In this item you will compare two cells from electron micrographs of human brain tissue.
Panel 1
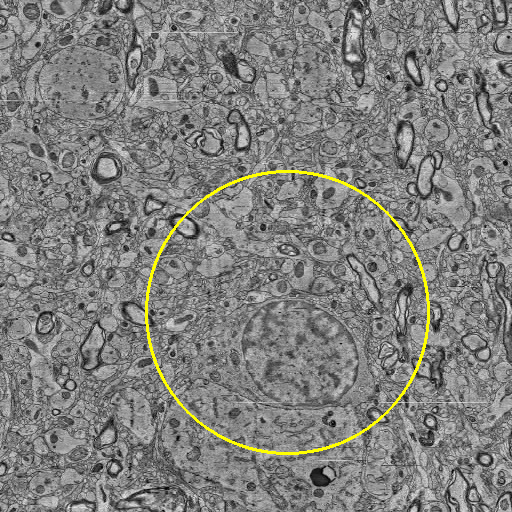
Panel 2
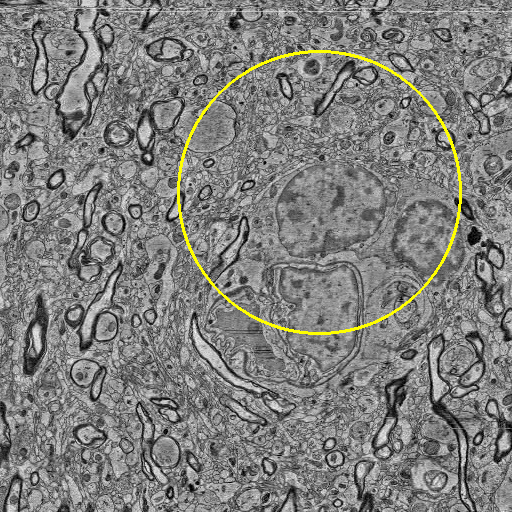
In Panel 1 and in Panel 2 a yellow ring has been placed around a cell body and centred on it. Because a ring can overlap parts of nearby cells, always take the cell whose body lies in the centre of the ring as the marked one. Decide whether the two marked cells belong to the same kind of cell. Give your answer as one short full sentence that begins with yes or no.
Yes, the two marked cells belong to the same kind of cell.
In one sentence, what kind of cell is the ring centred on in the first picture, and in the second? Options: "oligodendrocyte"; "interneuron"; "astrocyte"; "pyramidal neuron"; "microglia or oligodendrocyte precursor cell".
In the first picture and in the second, the ring is centred on an oligodendrocyte.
